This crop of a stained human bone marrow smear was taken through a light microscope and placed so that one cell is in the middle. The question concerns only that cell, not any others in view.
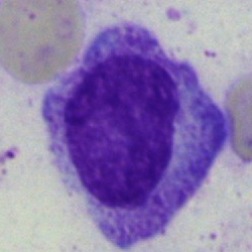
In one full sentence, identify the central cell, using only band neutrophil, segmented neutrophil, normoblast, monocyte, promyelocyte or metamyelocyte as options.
The cell in the middle of the field of view is a promyelocyte.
